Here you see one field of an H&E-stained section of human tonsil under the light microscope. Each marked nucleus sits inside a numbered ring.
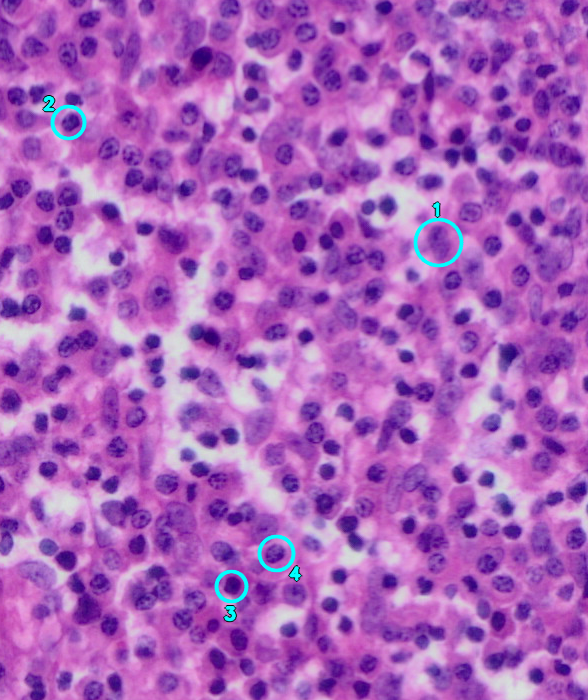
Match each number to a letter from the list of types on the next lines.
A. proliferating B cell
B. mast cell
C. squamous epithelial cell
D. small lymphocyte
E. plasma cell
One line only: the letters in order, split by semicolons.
C; E; E; E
